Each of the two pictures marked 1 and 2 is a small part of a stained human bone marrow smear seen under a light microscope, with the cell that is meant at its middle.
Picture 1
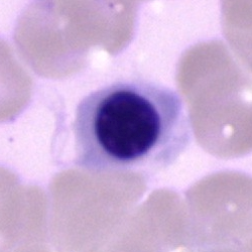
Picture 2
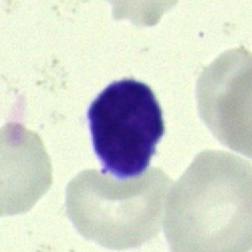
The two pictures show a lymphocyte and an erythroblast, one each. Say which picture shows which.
1: erythroblast
2: lymphocyte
